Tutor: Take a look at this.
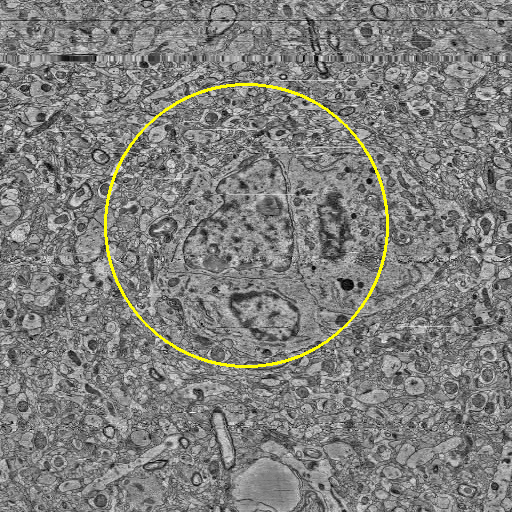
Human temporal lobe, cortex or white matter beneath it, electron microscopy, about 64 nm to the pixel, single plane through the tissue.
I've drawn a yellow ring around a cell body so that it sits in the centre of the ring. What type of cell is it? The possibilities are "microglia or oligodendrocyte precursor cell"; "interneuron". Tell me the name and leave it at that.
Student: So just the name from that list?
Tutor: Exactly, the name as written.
microglia or oligodendrocyte precursor cell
